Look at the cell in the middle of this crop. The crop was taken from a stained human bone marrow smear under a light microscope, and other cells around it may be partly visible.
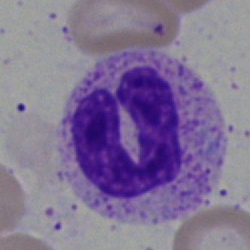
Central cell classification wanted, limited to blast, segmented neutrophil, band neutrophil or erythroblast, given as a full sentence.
Where the crop is centred, there is a segmented neutrophil.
